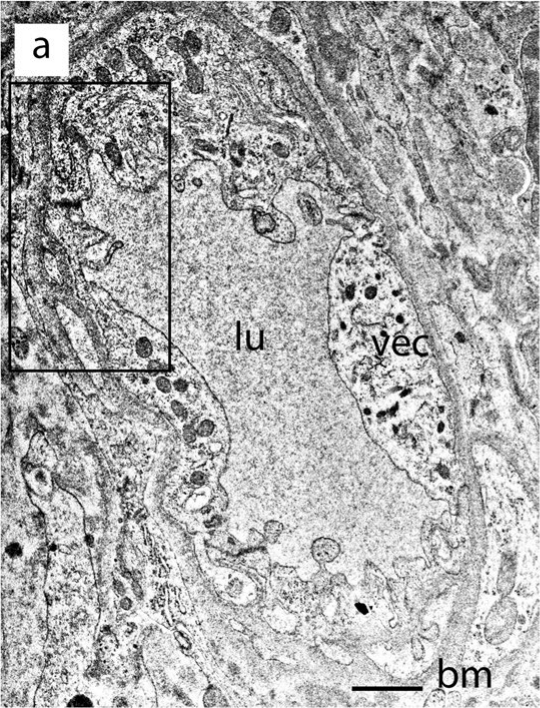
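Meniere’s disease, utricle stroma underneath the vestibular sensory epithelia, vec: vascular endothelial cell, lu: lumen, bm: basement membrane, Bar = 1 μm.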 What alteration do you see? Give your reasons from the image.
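Pseudopodic and microvilli-like projections. Small finger-like and rounded protrusions of the lining cells project into the lumen. The luminal outline is irregular rather than smooth.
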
